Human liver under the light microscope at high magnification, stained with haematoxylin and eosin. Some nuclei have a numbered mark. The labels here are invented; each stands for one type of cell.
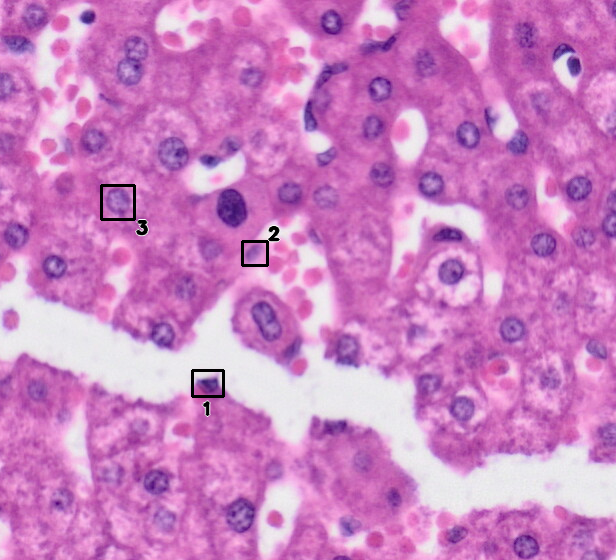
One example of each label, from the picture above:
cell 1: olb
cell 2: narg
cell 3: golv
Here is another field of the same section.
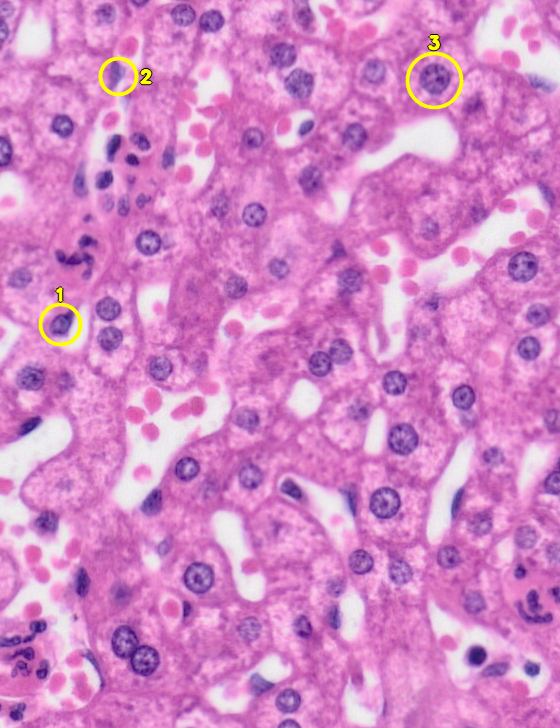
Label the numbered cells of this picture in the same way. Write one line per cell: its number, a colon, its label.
1: narg
2: olb
3: golv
